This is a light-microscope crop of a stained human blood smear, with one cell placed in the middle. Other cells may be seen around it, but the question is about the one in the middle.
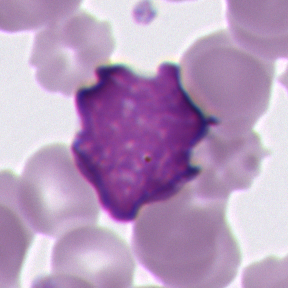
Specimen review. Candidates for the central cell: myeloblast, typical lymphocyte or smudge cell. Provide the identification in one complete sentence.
What the crop centres on is a smudge cell.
